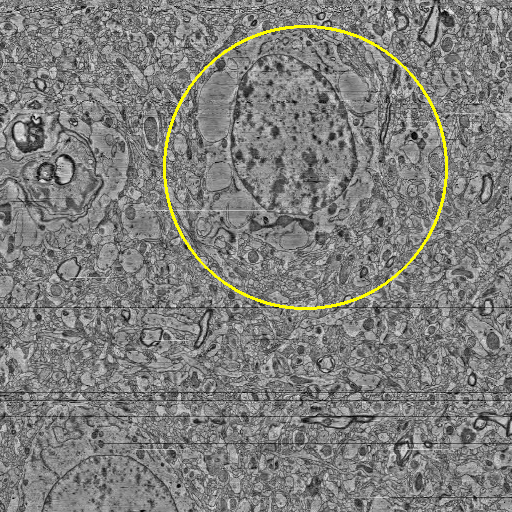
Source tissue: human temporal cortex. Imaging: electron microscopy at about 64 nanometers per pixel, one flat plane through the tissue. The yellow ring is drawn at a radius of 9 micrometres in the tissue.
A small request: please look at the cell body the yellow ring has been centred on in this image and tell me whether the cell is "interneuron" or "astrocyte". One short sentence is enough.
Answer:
The cell marked by the ring is an astrocyte.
